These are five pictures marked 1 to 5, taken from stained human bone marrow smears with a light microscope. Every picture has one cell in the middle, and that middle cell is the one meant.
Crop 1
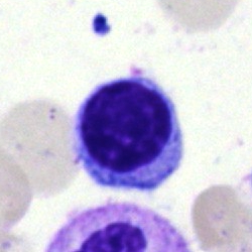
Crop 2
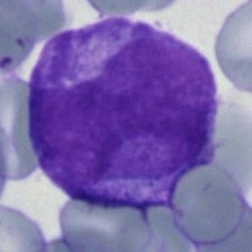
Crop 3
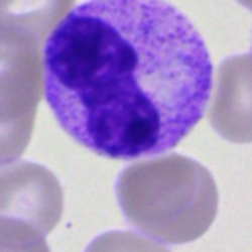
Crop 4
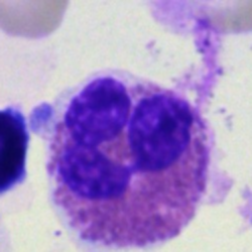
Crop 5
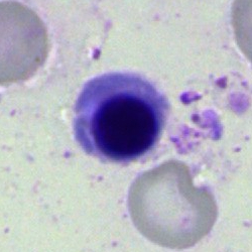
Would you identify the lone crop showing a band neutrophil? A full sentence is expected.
The one showing a band neutrophil is the crop labelled 3.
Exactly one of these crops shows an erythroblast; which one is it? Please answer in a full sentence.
Crop 5 is where an erythroblast is to be found.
